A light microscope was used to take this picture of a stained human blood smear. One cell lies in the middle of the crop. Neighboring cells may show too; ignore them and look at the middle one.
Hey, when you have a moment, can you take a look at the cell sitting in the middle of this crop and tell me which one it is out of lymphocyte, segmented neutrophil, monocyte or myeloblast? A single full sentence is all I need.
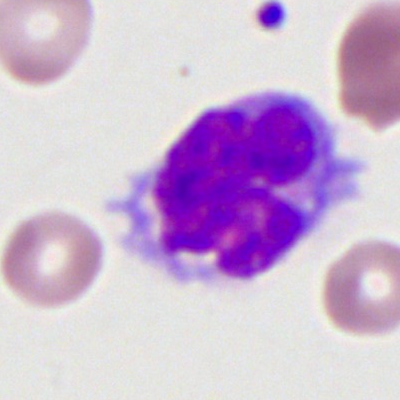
The crop shows a monocyte in its centre.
